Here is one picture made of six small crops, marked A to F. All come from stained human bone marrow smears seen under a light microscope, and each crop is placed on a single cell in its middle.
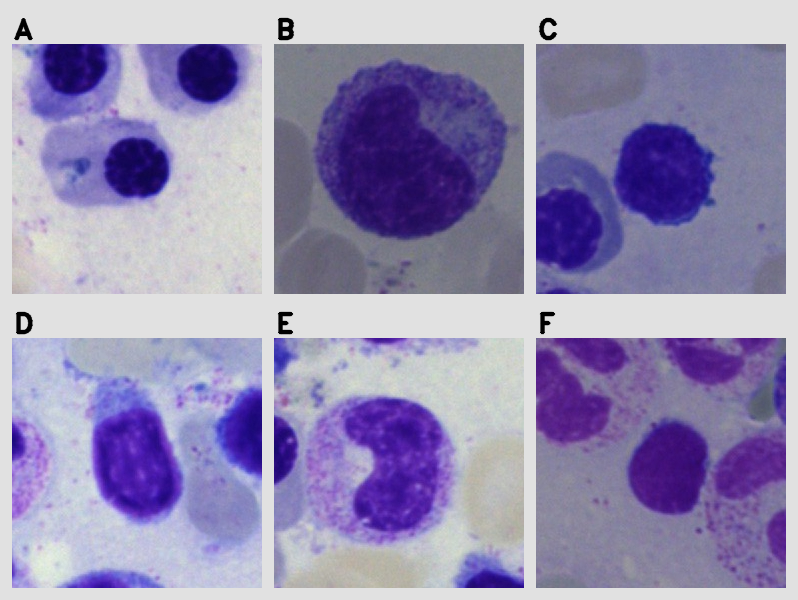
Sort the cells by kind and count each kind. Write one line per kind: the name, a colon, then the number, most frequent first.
lymphocyte: 3
metamyelocyte: 2
erythroblast: 1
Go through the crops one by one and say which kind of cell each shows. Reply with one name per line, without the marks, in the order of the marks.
erythroblast
metamyelocyte
lymphocyte
lymphocyte
metamyelocyte
lymphocyte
